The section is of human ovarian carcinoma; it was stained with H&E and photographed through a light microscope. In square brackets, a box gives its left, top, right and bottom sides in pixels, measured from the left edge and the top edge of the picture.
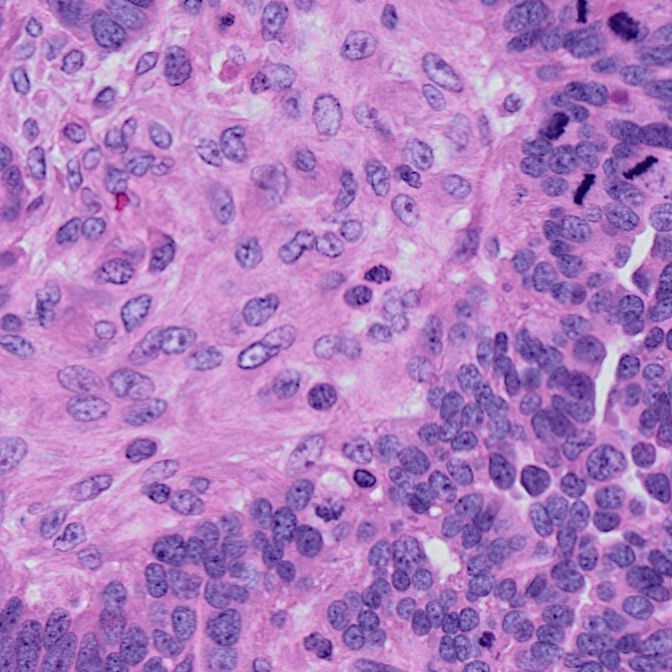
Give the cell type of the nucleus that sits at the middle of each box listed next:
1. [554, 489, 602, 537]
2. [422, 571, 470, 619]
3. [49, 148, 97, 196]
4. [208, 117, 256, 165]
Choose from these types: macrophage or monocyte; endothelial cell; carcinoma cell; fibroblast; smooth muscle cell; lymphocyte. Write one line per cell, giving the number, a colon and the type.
1: carcinoma cell
2: carcinoma cell
3: fibroblast
4: fibroblast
